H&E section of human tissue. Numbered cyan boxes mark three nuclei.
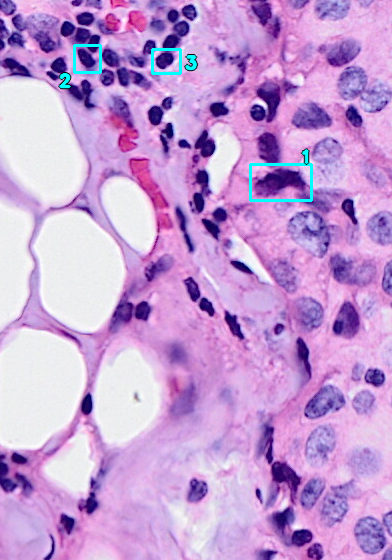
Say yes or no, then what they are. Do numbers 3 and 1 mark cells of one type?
No, cell 3 is a lymphocyte and cell 1 is a carcinoma cell.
